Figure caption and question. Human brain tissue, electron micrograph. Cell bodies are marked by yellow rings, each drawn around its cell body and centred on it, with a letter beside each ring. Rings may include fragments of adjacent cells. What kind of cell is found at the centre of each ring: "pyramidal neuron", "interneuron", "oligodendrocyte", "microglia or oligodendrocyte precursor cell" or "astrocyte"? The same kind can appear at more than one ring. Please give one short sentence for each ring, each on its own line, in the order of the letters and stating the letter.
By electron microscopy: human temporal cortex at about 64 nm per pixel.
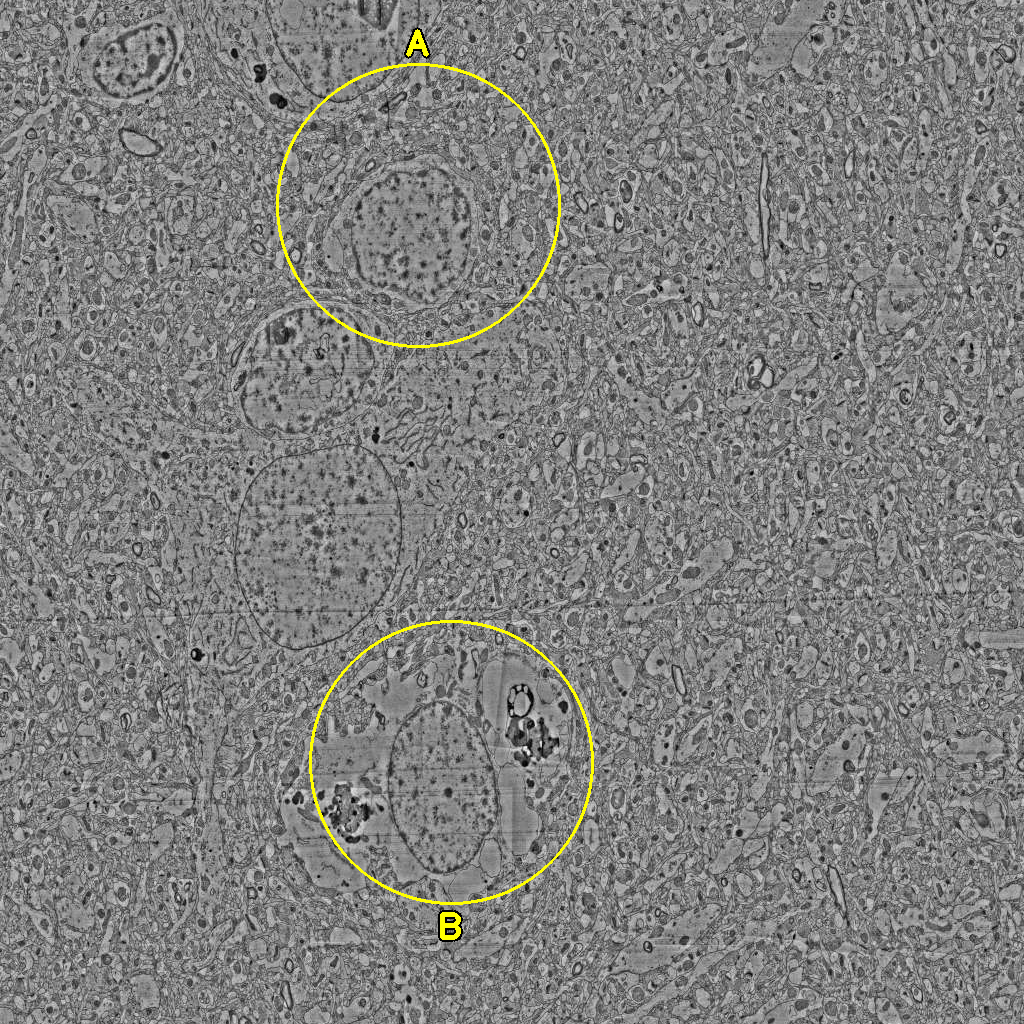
The centre of ring A falls on an interneuron.
The centre of ring B falls on an astrocyte.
